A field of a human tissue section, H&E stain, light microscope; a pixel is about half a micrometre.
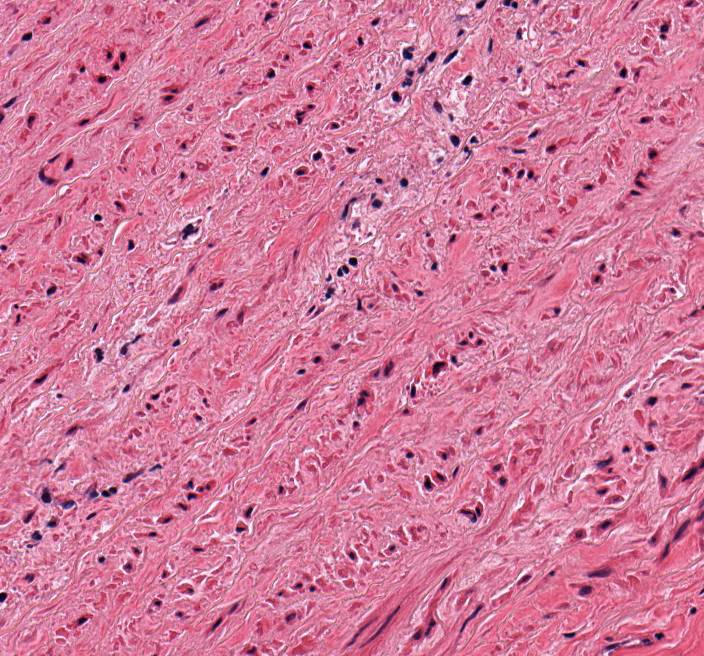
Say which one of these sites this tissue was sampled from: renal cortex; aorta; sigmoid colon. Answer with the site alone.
aorta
